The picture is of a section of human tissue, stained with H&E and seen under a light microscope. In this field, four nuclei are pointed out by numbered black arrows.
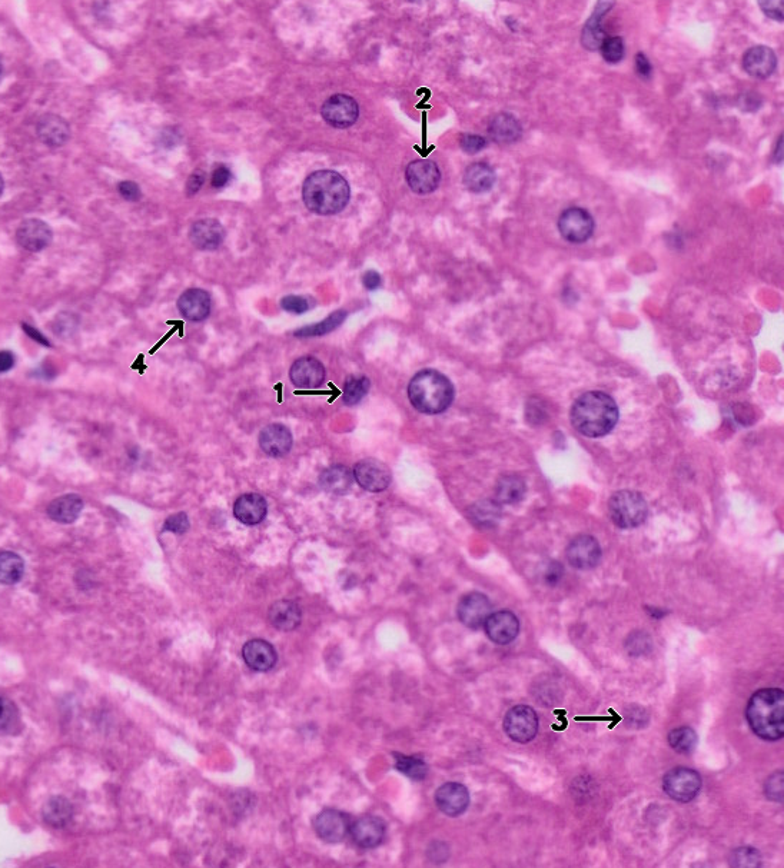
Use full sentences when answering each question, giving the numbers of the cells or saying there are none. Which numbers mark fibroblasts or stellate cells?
Of those with numbers, only cell 1 is a fibroblast or stellate cell.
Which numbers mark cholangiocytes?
The numbered cells are all of types other than cholangiocytes.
